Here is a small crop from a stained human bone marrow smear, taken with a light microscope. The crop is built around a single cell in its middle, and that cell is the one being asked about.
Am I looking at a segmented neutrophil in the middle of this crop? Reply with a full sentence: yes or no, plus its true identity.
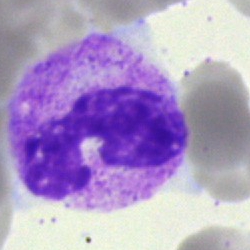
Yes, the identity of the central cell is that of a segmented neutrophil.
